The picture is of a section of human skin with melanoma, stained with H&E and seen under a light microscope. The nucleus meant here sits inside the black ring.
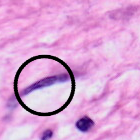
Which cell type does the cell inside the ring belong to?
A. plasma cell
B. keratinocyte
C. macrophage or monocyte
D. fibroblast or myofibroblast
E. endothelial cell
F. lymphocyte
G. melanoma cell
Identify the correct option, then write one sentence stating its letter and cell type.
The correct choice is option D; the cell inside the ring is a fibroblast or myofibroblast.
